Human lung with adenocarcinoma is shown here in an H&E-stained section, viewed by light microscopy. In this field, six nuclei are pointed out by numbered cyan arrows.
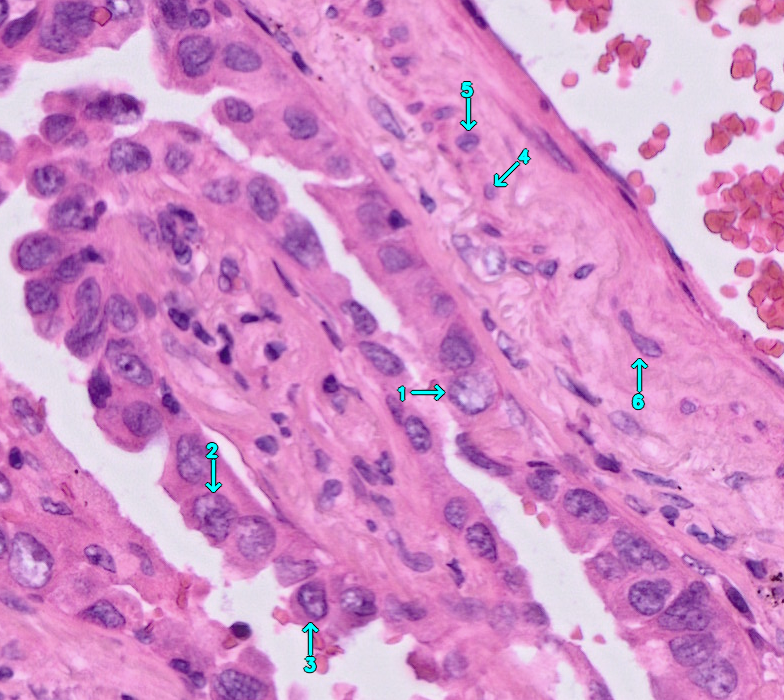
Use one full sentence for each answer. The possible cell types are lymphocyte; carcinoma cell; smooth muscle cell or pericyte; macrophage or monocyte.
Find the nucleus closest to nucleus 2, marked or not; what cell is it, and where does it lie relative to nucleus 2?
Just below and to the right of nucleus 2 lies the nearest nucleus, which belongs to a carcinoma cell.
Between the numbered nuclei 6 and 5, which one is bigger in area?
Nucleus 6 covers more area, about 2 times as much as nucleus 5.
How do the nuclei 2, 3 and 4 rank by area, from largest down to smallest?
Largest first, the order by area is 2, 3, 4.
